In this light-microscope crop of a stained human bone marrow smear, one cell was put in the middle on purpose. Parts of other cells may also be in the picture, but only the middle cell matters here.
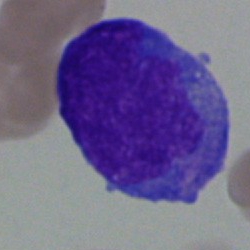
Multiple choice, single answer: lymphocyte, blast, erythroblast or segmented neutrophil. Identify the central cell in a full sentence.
The identification for the central cell is a blast.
